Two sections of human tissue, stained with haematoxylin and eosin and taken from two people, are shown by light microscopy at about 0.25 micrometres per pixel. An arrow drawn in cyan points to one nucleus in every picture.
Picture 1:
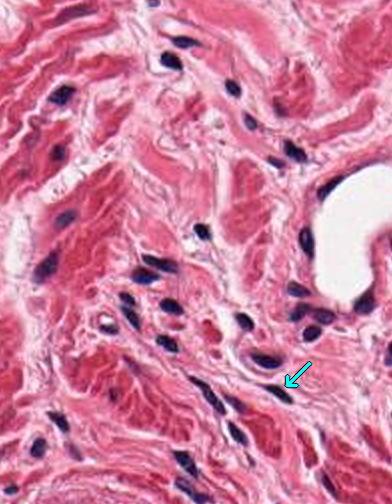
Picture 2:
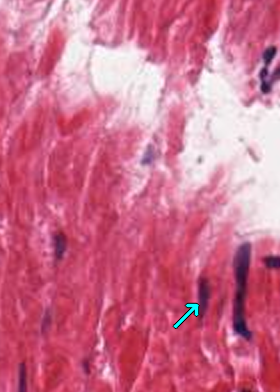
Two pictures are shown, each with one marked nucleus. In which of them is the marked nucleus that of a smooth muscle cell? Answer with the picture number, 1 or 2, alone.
2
